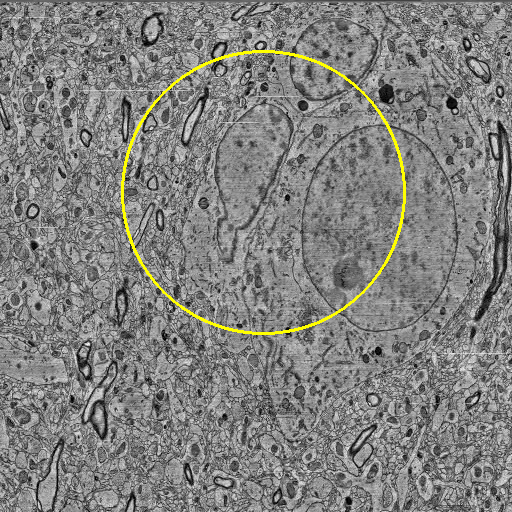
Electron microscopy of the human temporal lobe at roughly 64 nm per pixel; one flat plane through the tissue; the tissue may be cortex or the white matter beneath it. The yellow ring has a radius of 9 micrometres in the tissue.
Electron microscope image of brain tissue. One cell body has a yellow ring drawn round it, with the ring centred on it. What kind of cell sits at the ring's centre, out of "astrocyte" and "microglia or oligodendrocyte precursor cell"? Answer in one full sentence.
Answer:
It is a microglial cell or oligodendrocyte precursor cell whose cell body sits at the centre of the yellow ring.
